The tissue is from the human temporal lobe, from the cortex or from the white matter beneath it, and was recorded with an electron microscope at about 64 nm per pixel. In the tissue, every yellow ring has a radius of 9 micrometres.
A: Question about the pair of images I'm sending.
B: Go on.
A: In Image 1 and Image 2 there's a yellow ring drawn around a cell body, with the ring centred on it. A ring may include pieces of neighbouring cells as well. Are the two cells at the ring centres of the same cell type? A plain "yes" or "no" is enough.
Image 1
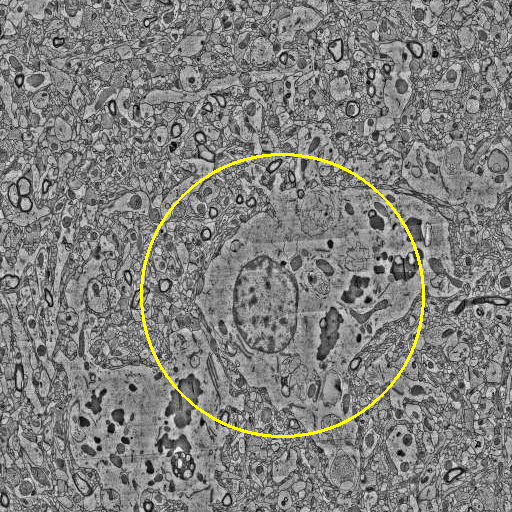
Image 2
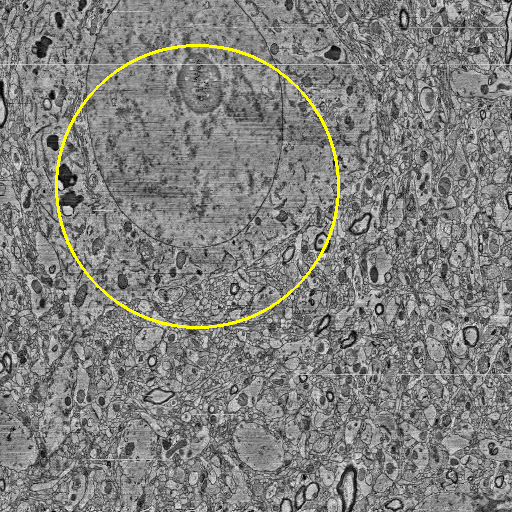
no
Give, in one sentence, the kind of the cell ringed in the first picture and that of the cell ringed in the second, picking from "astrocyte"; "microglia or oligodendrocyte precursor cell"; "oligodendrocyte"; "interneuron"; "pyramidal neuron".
For the first picture it is an astrocyte; for the second, a pyramidal neuron.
